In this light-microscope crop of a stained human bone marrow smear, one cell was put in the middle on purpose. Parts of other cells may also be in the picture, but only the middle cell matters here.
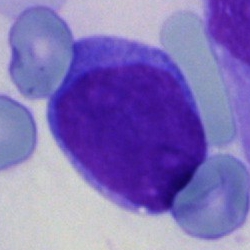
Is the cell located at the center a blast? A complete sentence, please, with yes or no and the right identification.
Yes, the cell at the very centre of the crop is a blast.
